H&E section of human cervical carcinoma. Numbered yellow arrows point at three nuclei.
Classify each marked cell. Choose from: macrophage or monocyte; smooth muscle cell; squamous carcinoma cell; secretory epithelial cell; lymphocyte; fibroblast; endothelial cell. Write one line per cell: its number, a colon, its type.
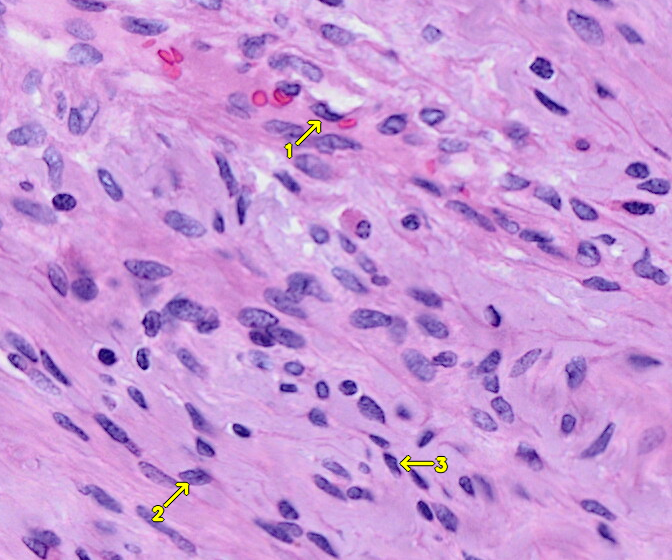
1: endothelial cell
2: fibroblast
3: fibroblast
